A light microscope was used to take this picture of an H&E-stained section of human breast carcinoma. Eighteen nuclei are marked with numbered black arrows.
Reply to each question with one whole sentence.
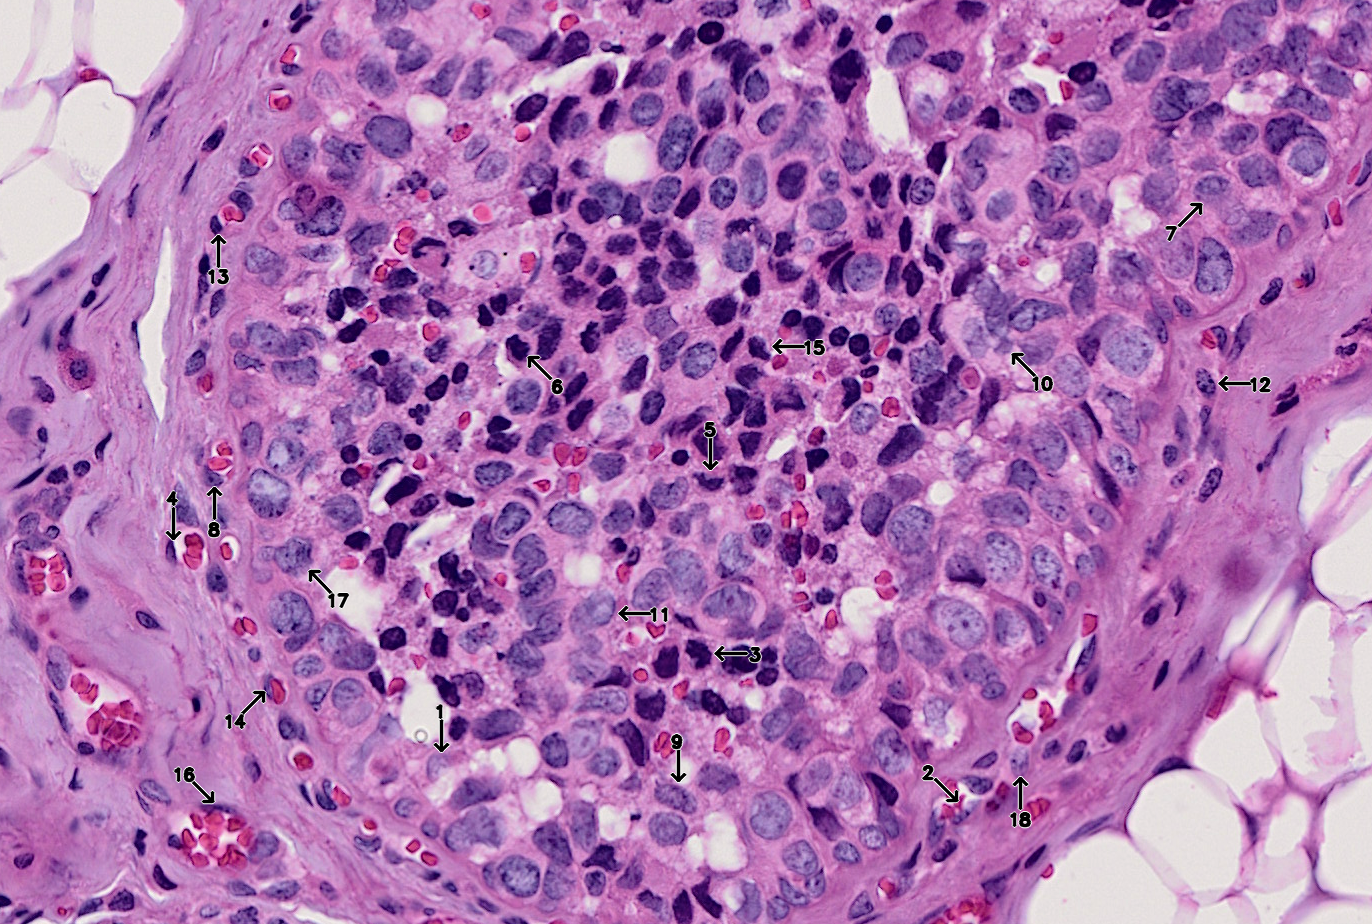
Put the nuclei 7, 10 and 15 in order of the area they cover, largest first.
By area, largest first, they run 7, 15, 10.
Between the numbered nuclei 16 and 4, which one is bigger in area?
The larger nucleus is 16, at roughly 2 times the area of 4.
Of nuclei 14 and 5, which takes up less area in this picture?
Nucleus 14 covers less area, with nucleus 5 about 2 times as large.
